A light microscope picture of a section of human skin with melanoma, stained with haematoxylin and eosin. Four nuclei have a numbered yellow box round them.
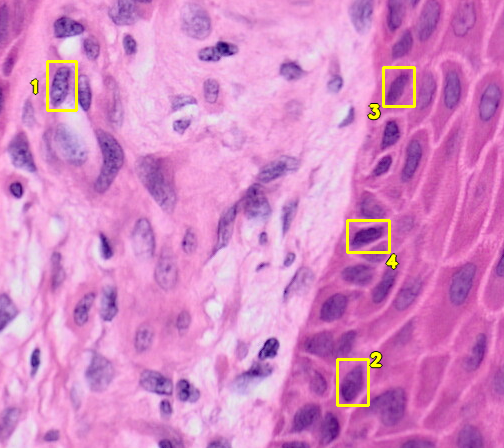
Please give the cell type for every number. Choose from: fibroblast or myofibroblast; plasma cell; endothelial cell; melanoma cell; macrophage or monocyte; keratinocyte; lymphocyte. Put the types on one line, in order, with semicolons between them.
endothelial cell; keratinocyte; keratinocyte; keratinocyte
